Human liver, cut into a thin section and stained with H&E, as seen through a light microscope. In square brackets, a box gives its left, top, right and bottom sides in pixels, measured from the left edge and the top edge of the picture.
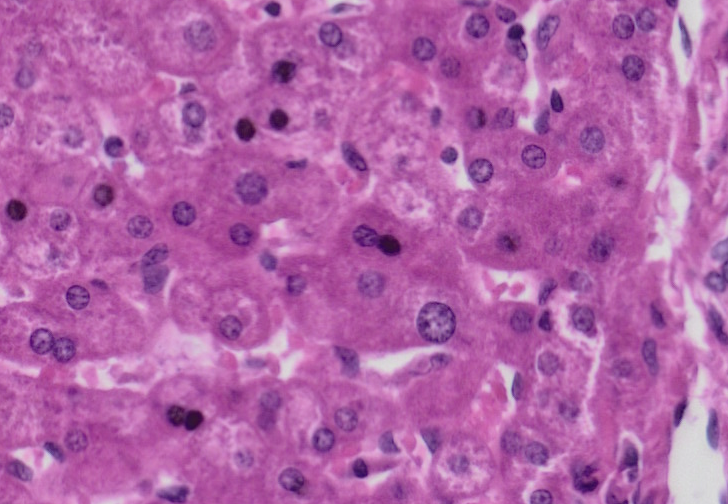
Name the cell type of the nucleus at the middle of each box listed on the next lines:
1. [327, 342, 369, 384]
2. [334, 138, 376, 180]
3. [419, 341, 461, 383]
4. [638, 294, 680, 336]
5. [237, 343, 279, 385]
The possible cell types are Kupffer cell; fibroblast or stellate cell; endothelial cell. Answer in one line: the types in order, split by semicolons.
endothelial cell; Kupffer cell; Kupffer cell; fibroblast or stellate cell; Kupffer cell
